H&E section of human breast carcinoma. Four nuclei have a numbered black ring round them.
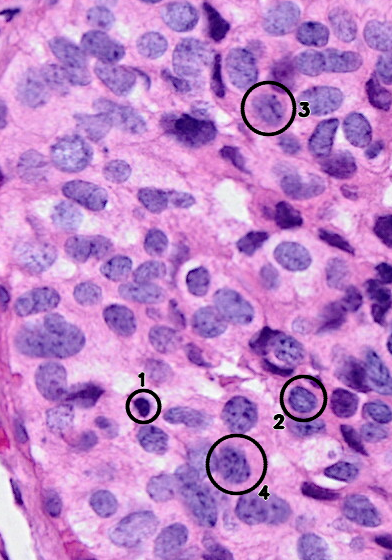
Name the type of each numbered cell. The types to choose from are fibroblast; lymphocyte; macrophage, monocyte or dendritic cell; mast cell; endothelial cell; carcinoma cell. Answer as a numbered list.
1. lymphocyte
2. carcinoma cell
3. carcinoma cell
4. carcinoma cell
